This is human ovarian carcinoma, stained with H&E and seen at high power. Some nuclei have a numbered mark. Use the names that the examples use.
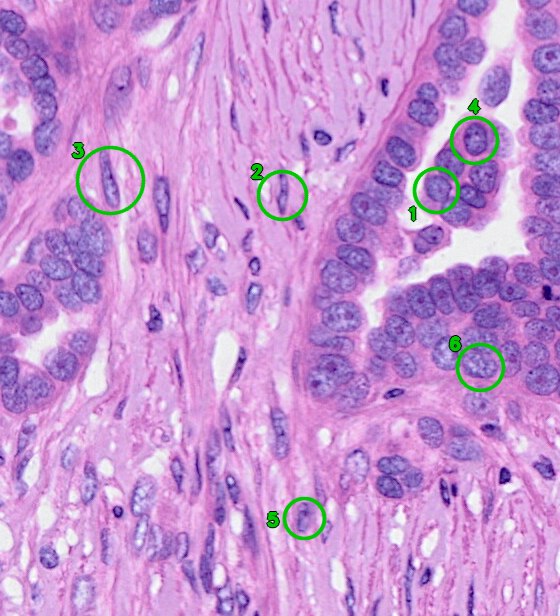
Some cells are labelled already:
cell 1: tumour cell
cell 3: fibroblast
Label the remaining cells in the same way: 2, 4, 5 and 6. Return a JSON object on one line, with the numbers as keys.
{"2": "fibroblast", "4": "tumour cell", "5": "fibroblast", "6": "tumour cell"}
